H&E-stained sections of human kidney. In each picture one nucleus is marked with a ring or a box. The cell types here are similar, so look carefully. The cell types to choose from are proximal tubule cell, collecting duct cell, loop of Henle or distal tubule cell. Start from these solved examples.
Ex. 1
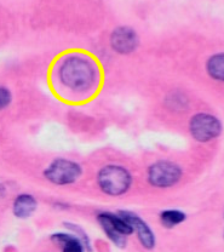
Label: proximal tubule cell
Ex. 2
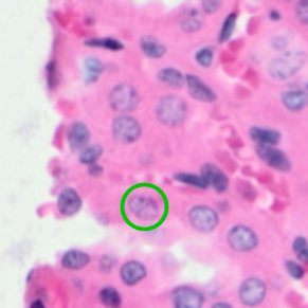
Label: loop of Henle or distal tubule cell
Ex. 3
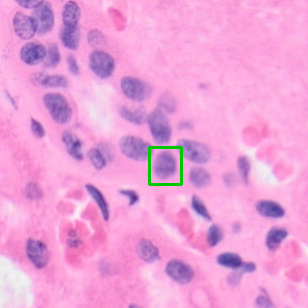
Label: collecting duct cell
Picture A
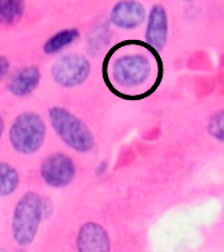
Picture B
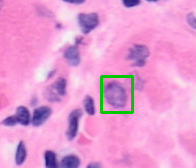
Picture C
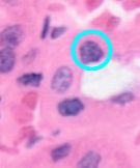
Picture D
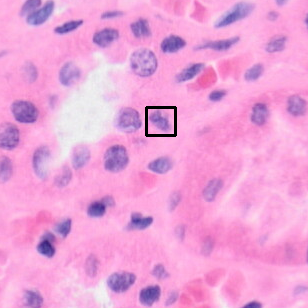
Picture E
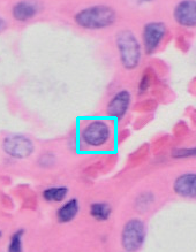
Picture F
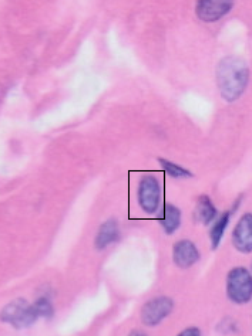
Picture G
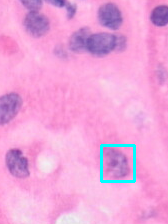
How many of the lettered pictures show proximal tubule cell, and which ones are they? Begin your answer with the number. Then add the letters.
Count: 2 (B, G)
